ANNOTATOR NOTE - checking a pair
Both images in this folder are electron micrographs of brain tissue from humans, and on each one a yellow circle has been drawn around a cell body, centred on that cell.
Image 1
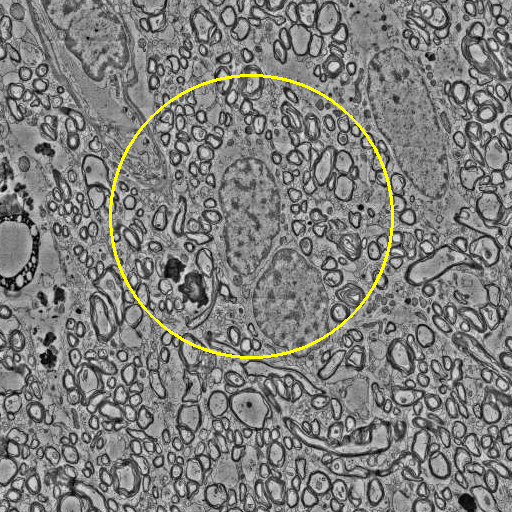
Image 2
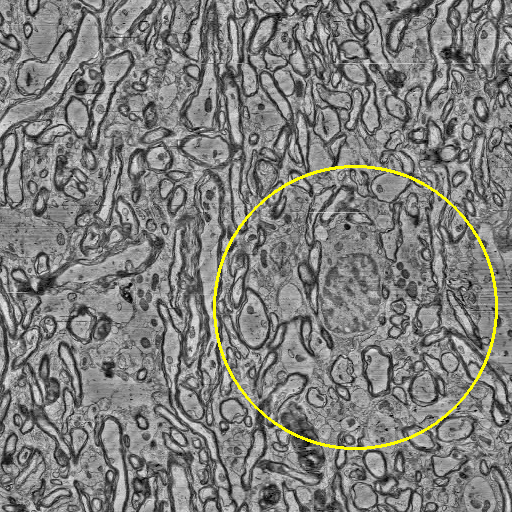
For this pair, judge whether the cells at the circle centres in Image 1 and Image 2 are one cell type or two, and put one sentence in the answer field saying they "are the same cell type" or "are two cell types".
For this pair, the cells at the circle centres in Images 1 and 2 are the same cell type.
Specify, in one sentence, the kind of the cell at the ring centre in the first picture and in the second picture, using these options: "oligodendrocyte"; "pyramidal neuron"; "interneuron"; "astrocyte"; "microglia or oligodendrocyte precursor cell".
In each picture the ringed cell is an oligodendrocyte.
